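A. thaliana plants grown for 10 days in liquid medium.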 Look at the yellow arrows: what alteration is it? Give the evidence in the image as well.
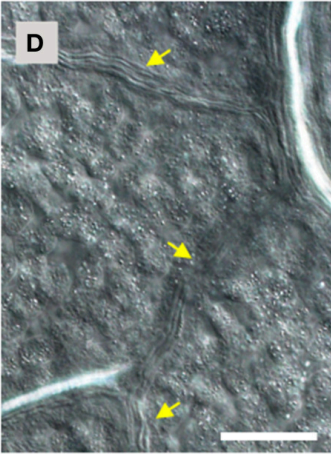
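The arrowed strands are faint bundles of narrow elongated cells. They lack the bright, thick-walled vessels seen in the vein at the right edge. That points to this answer: veins without visible xylem vessels.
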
